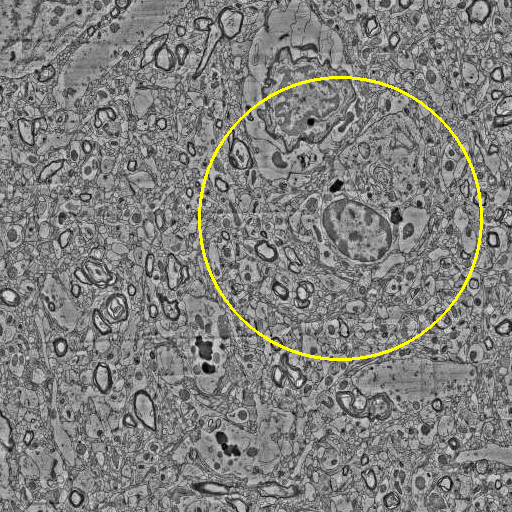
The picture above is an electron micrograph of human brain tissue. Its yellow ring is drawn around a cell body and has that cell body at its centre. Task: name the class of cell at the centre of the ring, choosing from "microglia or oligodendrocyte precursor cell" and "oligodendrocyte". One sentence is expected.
The ring surrounds the body of a microglial cell or oligodendrocyte precursor cell.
